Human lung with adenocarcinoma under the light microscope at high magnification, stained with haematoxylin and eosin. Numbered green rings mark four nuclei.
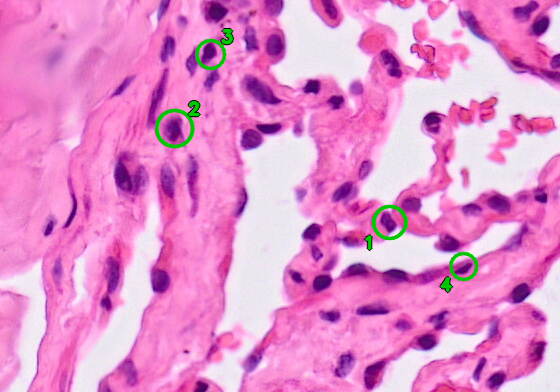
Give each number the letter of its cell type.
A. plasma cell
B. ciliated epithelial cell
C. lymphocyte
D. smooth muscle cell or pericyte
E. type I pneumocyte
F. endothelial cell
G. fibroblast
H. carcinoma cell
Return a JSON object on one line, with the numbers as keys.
{"1": "E", "2": "A", "3": "A", "4": "F"}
